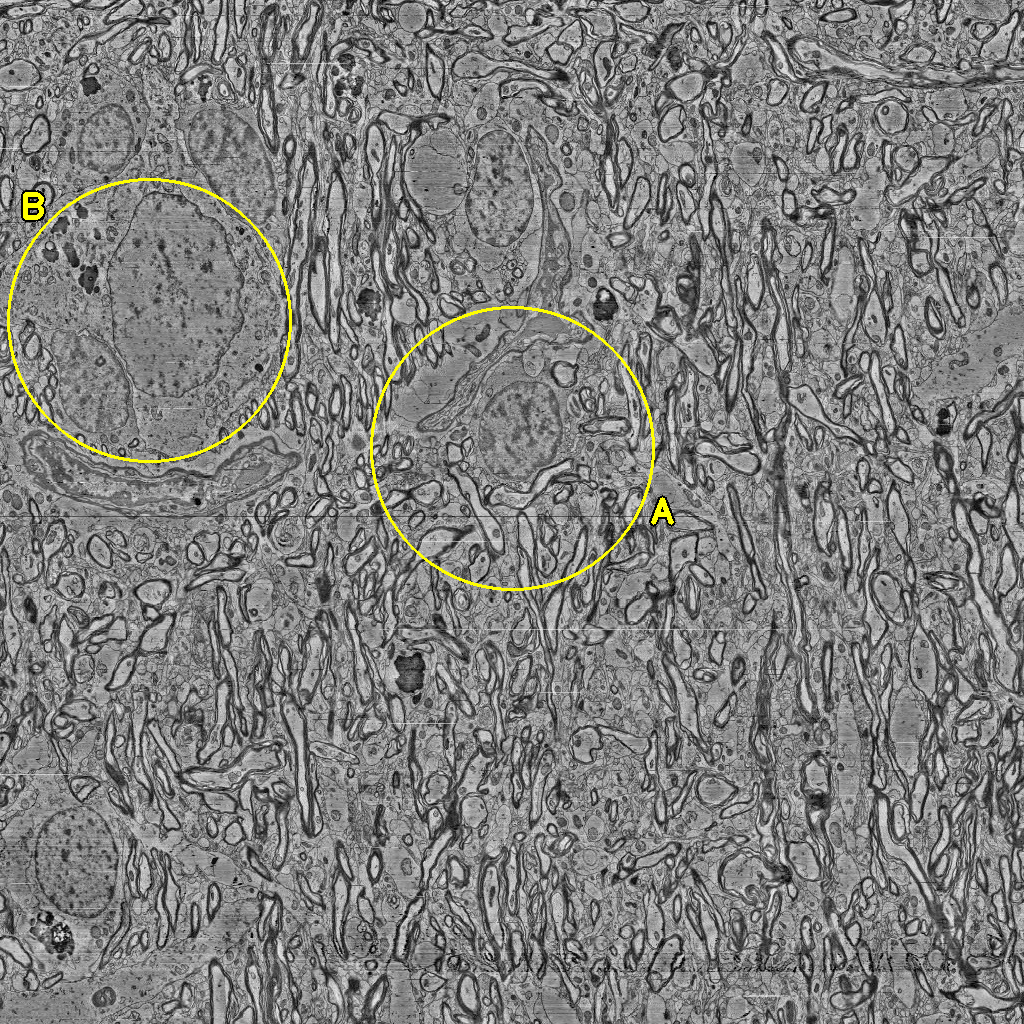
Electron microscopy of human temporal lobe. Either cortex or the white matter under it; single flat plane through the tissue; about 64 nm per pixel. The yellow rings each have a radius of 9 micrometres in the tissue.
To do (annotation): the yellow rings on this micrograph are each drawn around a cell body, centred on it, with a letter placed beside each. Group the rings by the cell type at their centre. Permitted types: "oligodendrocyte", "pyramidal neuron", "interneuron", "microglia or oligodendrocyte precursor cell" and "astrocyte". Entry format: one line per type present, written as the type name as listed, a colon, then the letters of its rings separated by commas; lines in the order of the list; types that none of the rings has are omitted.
oligodendrocyte: A
pyramidal neuron: B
